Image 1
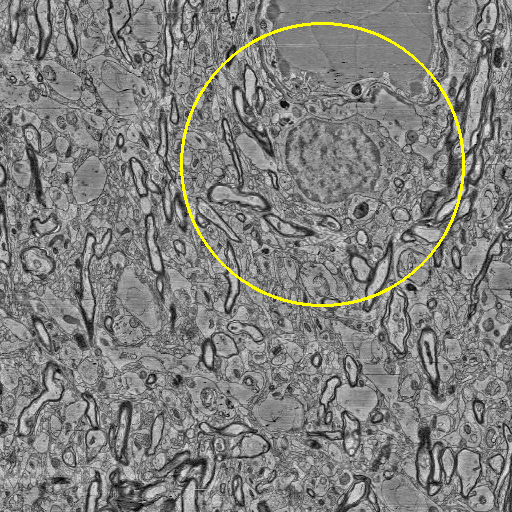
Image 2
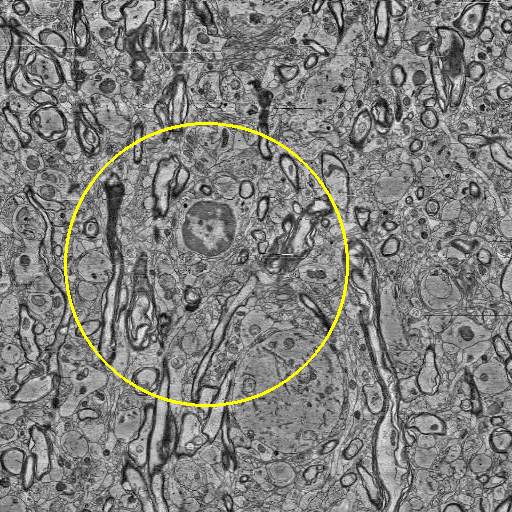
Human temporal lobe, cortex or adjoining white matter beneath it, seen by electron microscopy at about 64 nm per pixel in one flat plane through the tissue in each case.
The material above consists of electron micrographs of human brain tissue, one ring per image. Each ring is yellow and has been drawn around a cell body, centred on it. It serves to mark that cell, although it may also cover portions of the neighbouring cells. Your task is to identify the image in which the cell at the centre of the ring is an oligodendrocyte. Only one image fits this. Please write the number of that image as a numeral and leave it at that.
1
